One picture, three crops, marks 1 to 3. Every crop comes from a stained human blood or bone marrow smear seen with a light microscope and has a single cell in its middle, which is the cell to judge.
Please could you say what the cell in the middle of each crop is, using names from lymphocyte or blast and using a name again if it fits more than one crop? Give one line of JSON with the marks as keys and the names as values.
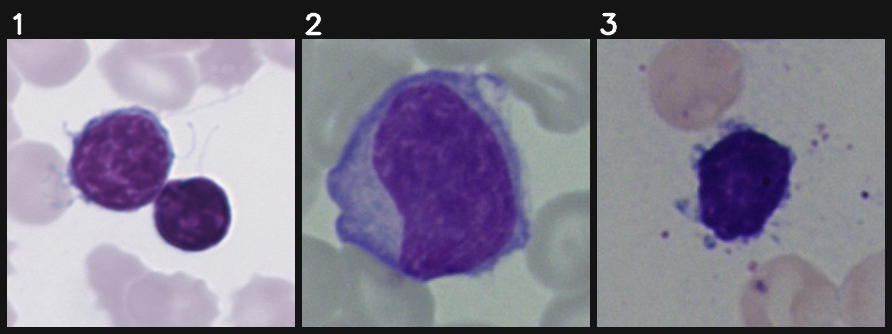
{"1": "blast", "2": "blast", "3": "lymphocyte"}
